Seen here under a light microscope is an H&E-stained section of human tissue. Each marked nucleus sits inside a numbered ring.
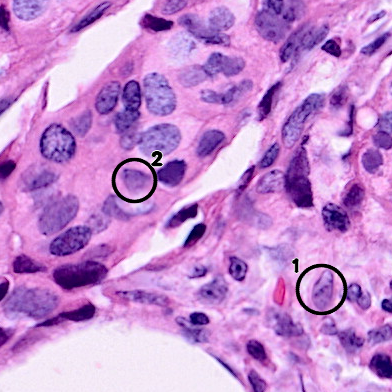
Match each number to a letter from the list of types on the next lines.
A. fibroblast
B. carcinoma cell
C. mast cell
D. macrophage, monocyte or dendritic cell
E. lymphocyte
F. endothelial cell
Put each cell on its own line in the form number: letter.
1: F
2: B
